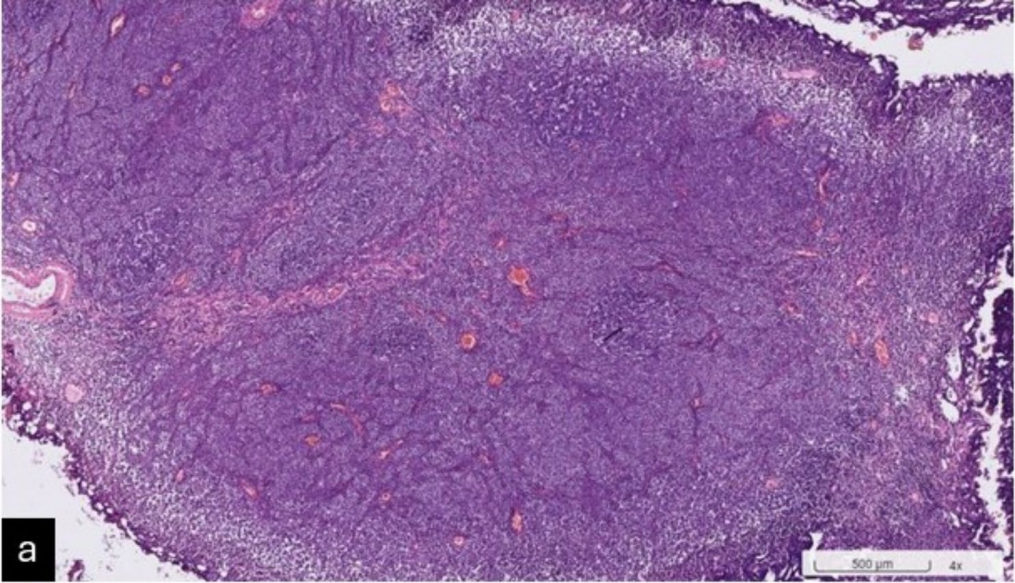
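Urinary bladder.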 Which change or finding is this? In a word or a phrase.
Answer: diffuse infiltrate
